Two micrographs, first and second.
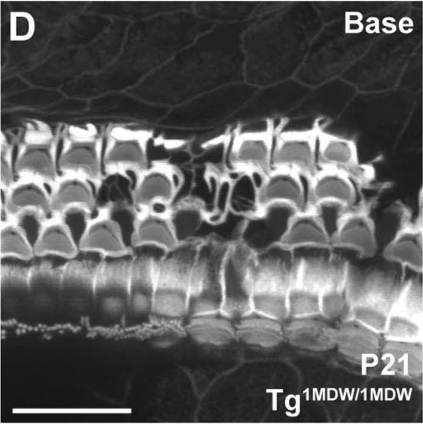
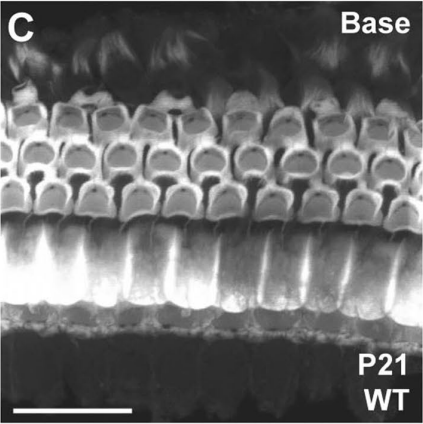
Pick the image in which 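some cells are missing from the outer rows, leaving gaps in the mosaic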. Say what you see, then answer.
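The first image. First image: the three outer rows show gaps and distorted outlines where cells are absent. Second image: the three outer rows of cell outlines are regular and complete.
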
